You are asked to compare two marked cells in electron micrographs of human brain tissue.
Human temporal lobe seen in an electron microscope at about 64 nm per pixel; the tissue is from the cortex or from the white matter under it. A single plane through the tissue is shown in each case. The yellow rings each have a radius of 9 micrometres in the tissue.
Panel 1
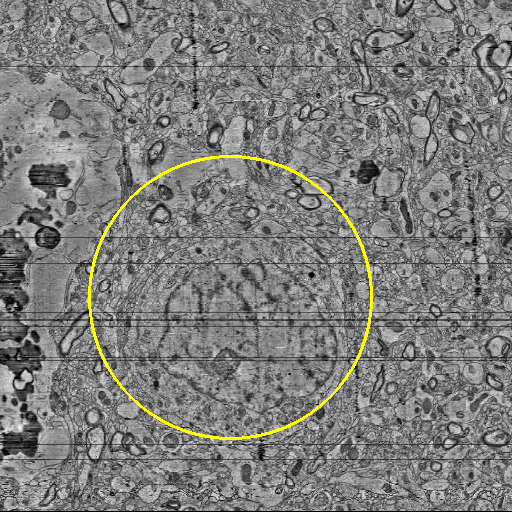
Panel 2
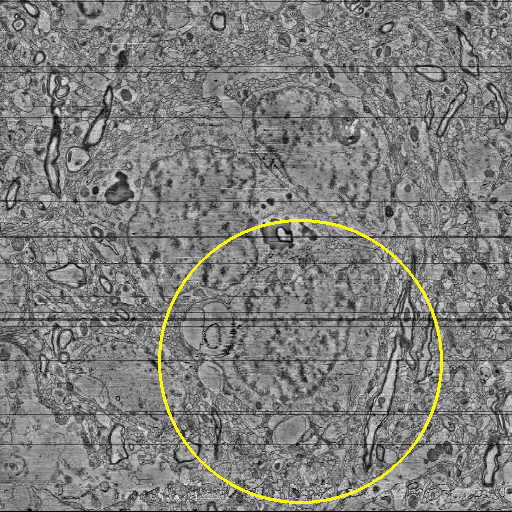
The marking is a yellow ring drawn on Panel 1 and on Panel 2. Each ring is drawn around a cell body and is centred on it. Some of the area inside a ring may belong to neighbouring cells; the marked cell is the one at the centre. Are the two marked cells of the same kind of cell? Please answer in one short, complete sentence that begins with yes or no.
Yes, the two marked cells are of the same kind.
